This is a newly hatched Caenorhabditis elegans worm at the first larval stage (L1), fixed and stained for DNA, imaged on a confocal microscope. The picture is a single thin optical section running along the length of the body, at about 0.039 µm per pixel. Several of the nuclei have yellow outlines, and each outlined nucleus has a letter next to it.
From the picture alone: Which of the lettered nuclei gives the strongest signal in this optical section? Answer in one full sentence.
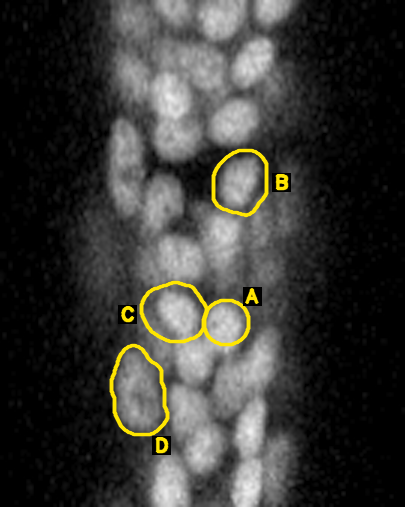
Of the marked nuclei, A takes up the stain most strongly.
